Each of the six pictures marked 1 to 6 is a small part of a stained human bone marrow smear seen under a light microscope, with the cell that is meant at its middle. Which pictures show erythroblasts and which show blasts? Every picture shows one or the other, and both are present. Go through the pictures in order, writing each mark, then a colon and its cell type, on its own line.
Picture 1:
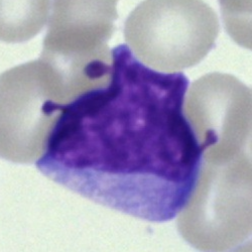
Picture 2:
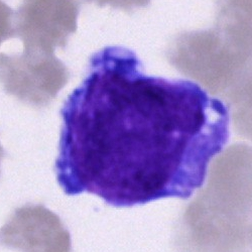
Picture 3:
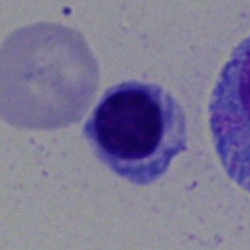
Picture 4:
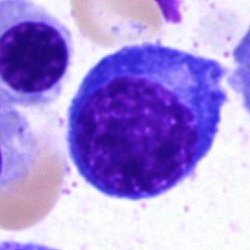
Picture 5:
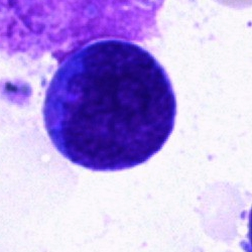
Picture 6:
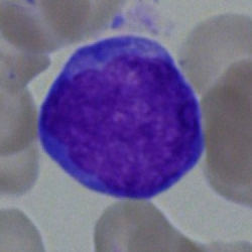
1: blast
2: blast
3: erythroblast
4: erythroblast
5: blast
6: blast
